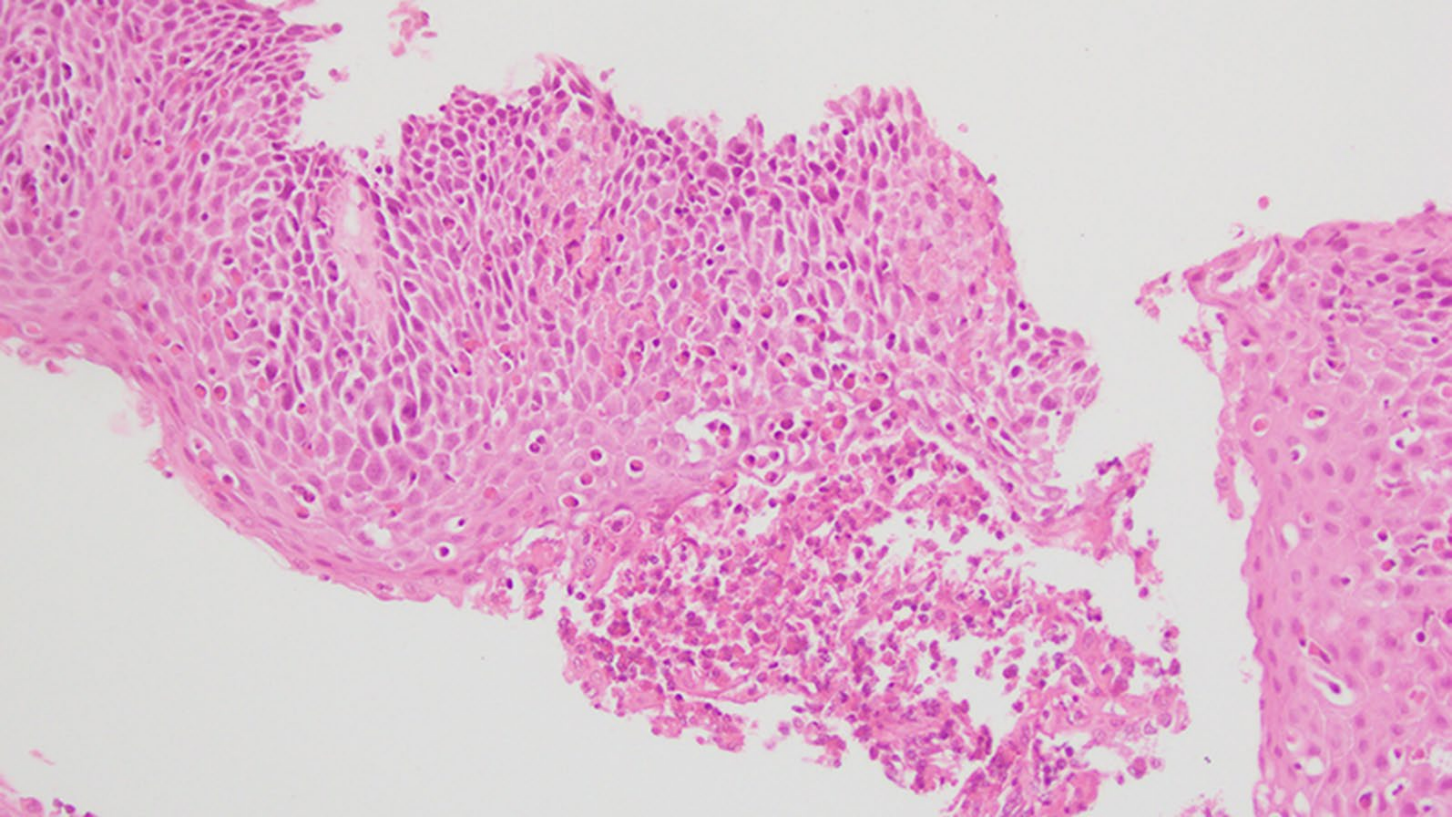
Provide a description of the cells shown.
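This fragment of esophageal mucosa shows stratified squamous epithelium infiltrated diffusely by eosinophils. The epithelial cells have pale pink cytoplasm and oval purple nuclei, and in many places clear spaces separate them from one another. Scattered among the epithelial cells throughout the thickness of the layer are many eosinophils with bright pink-red cytoplasm and small, dark, lobed nuclei. Near the lower middle of the fragment the inflammatory cells are packed into a dense cluster, forming a microabscess. In that area the epithelium is loose and fragmented instead of forming a continuous layer.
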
